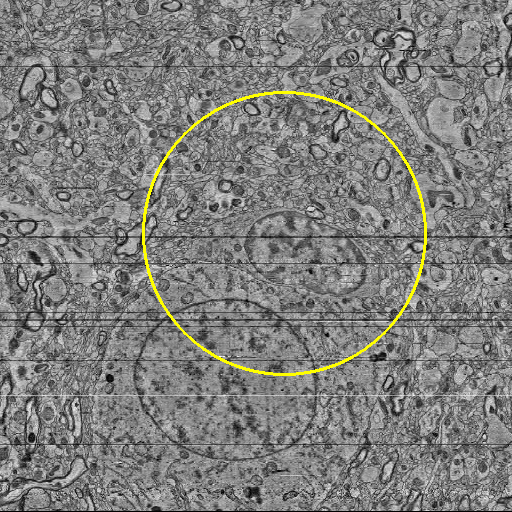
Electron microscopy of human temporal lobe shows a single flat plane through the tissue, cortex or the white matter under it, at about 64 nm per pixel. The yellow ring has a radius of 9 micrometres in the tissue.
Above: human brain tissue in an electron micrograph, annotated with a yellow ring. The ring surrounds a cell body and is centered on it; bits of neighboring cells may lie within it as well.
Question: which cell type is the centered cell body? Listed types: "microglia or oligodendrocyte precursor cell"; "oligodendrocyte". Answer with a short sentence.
The centered cell body is an oligodendrocyte.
